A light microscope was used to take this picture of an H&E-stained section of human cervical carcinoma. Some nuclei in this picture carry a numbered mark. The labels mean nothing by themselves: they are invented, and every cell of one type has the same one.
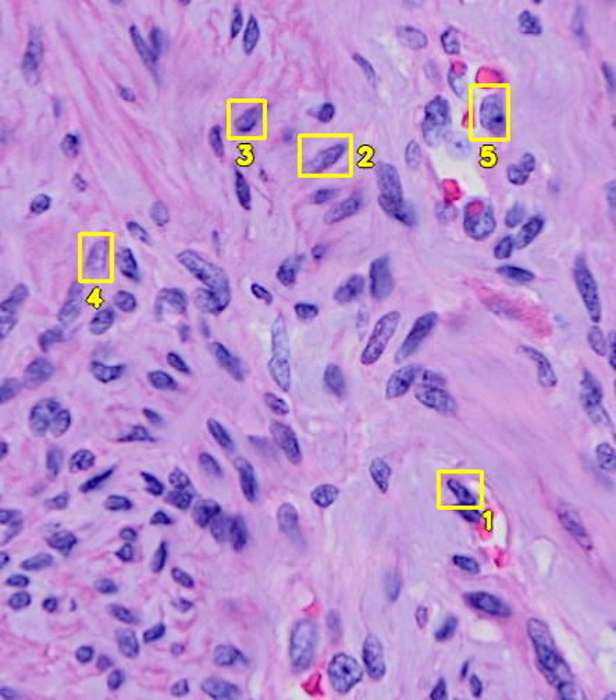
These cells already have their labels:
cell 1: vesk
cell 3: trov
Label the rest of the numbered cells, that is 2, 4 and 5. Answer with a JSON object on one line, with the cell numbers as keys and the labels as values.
{"2": "trov", "4": "trov", "5": "vesk"}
